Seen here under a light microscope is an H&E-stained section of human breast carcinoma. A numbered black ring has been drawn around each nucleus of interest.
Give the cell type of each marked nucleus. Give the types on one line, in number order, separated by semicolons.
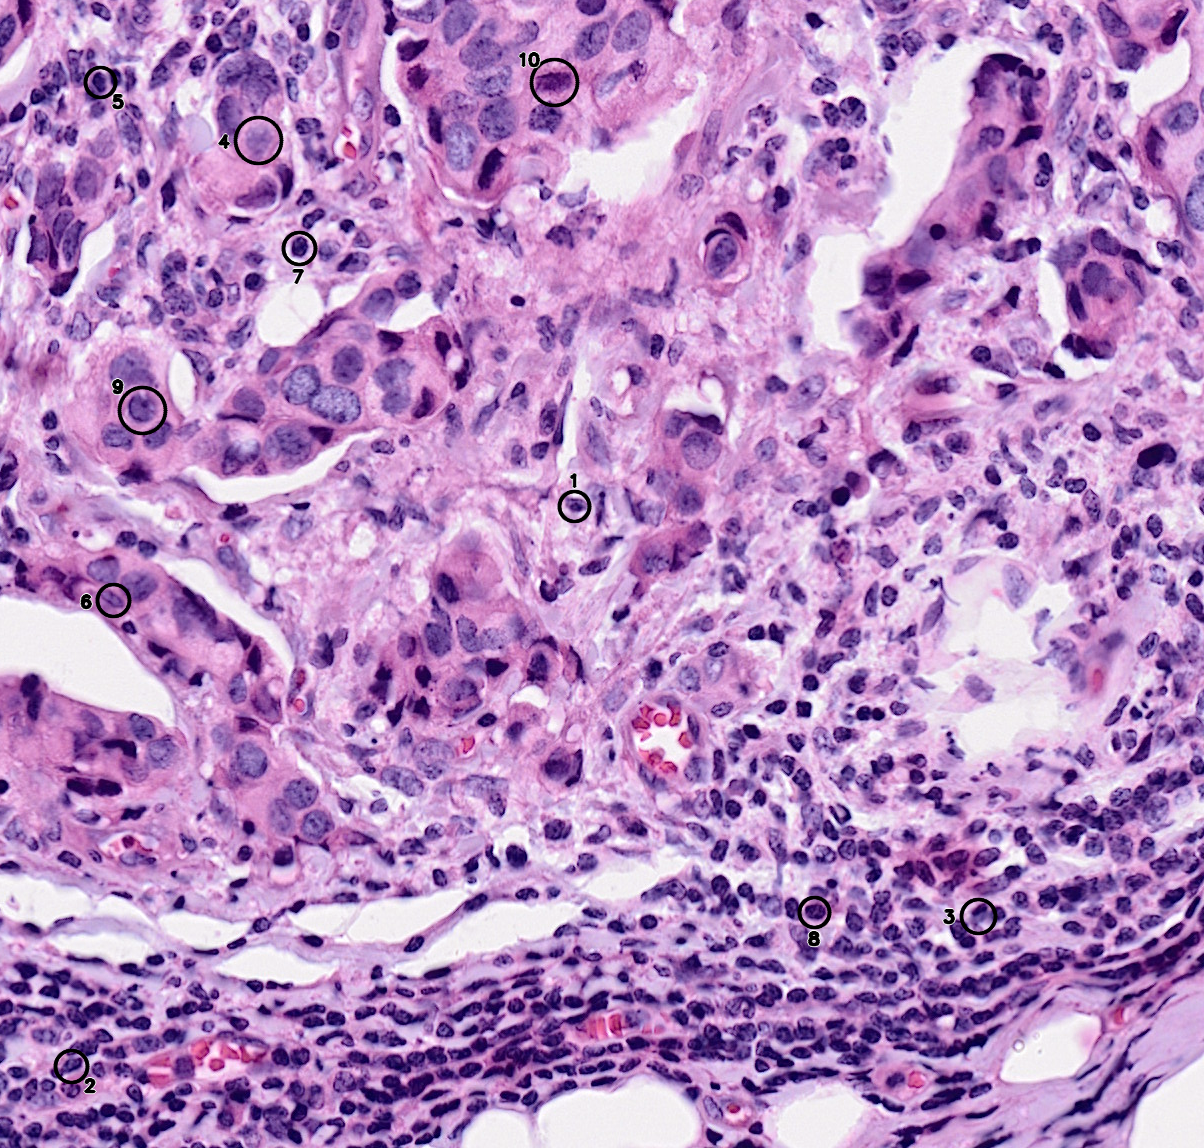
lymphocyte; lymphocyte; lymphocyte; carcinoma cell; lymphocyte; carcinoma cell; lymphocyte; lymphocyte; carcinoma cell; carcinoma cell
